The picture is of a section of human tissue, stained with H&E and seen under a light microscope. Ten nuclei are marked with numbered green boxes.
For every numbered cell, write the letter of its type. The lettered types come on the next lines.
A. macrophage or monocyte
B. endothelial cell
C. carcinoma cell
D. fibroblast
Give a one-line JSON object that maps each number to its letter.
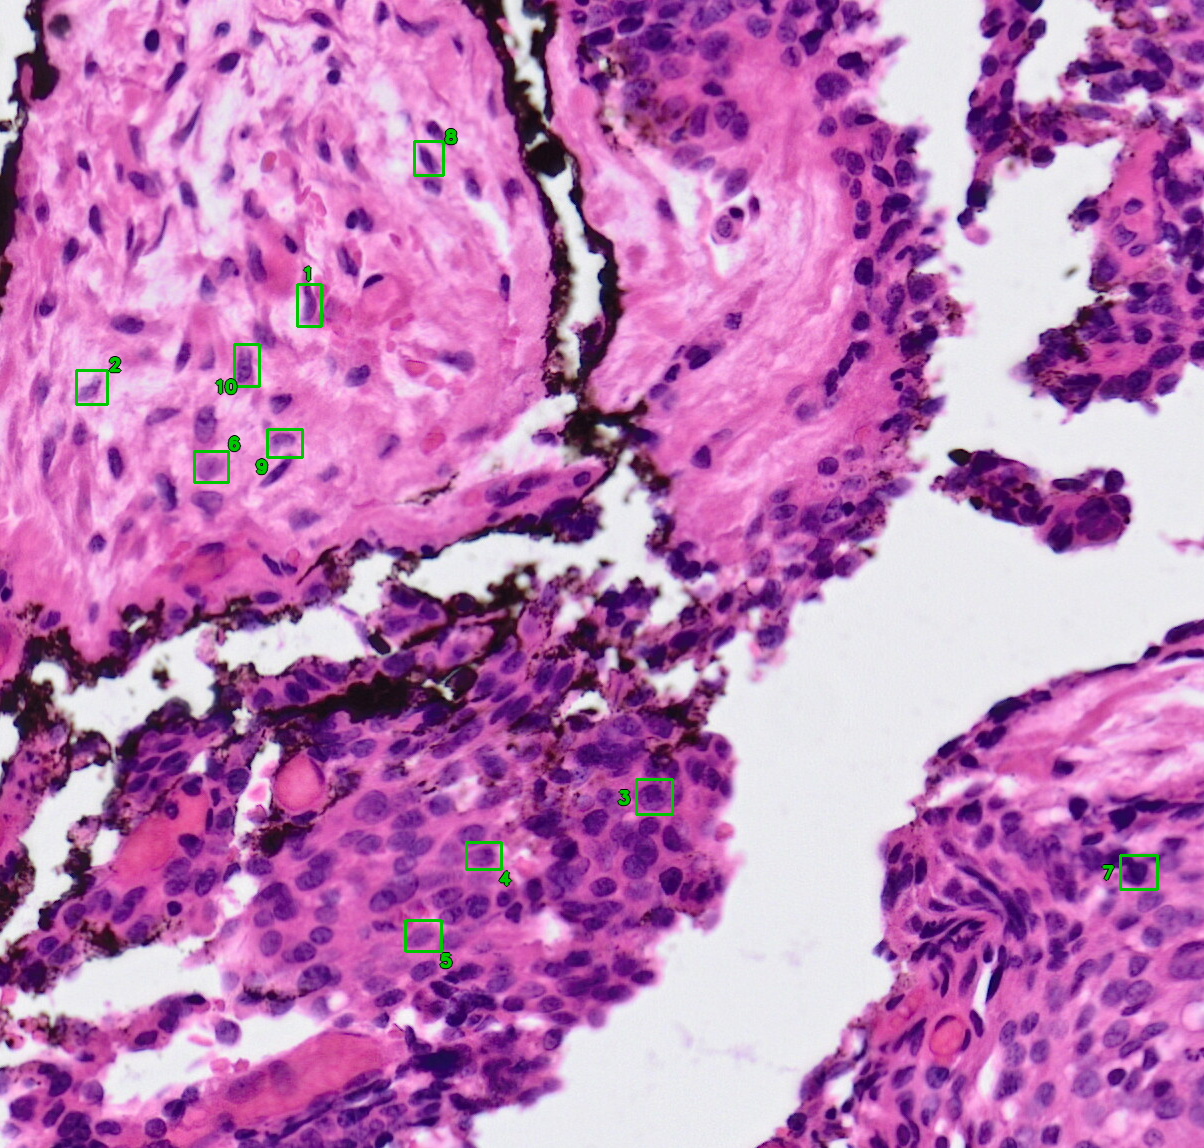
{"1": "D", "2": "D", "3": "C", "4": "C", "5": "C", "6": "D", "7": "C", "8": "D", "9": "D", "10": "D"}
